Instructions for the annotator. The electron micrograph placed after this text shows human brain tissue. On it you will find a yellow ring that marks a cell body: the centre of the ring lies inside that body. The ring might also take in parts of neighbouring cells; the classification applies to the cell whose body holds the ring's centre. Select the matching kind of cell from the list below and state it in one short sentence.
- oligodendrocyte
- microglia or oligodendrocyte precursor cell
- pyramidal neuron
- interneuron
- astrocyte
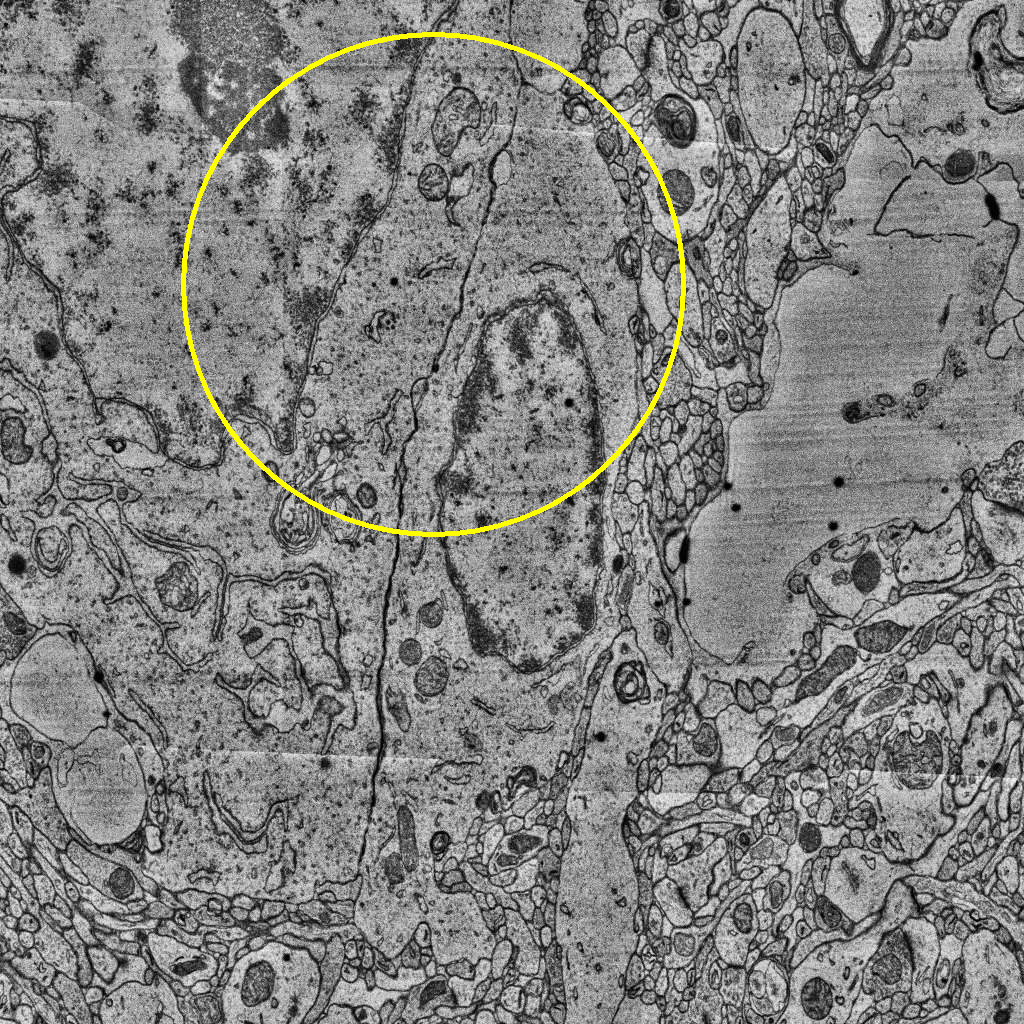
The centre of the ring lies in the cell body of a microglial cell or oligodendrocyte precursor cell.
